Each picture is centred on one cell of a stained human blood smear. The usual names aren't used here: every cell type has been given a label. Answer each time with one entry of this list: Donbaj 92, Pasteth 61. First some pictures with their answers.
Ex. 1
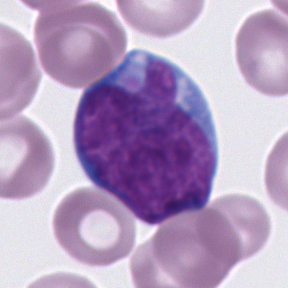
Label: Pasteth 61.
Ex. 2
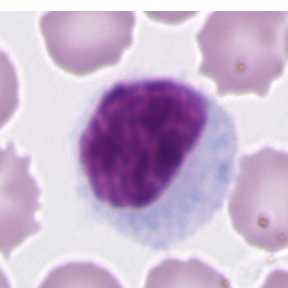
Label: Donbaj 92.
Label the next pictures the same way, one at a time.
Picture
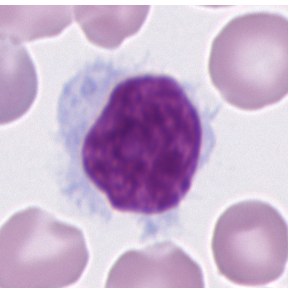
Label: Donbaj 92.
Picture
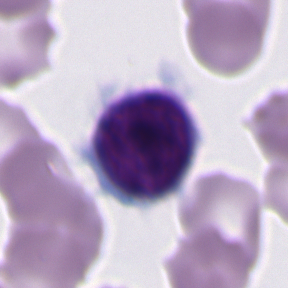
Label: Donbaj 92.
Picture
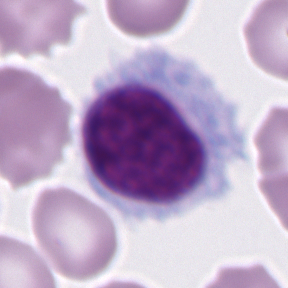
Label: Donbaj 92.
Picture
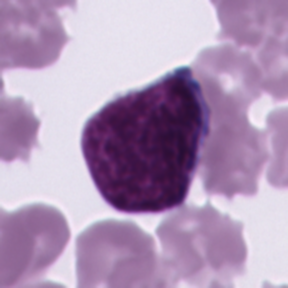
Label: Pasteth 61.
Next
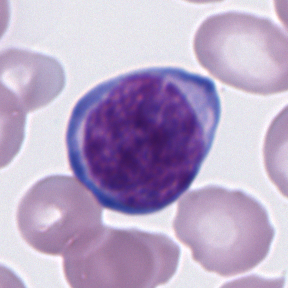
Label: Pasteth 61.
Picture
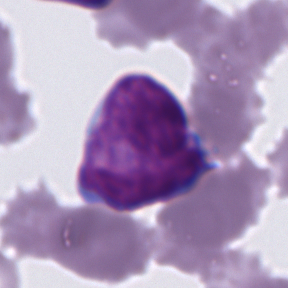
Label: Pasteth 61.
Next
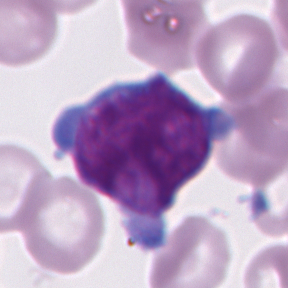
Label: Pasteth 61.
